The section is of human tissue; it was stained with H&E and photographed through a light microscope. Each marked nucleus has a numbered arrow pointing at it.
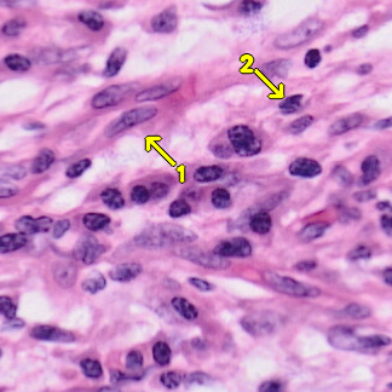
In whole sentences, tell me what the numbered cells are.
Cell 1 is an endothelial cell. Cell 2 is a lymphocyte.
